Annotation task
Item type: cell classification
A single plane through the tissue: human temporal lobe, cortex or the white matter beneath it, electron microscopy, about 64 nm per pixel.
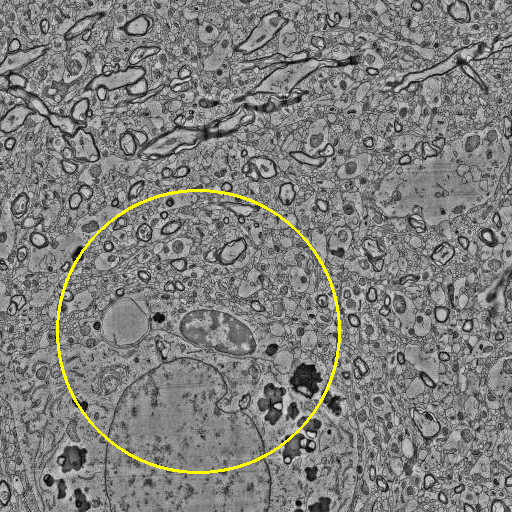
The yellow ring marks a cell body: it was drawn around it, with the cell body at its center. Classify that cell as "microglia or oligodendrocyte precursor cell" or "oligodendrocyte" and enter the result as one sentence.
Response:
The ring's center falls on a microglial cell or oligodendrocyte precursor cell.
